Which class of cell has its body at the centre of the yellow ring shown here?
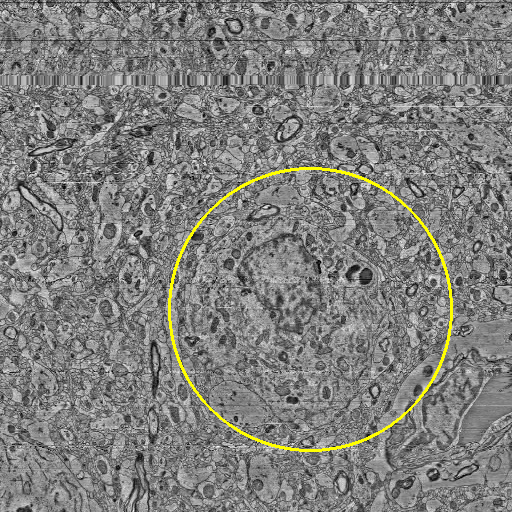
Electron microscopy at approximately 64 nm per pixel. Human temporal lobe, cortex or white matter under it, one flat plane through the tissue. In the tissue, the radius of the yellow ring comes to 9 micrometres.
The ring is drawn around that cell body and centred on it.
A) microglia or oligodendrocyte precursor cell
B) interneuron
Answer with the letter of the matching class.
B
